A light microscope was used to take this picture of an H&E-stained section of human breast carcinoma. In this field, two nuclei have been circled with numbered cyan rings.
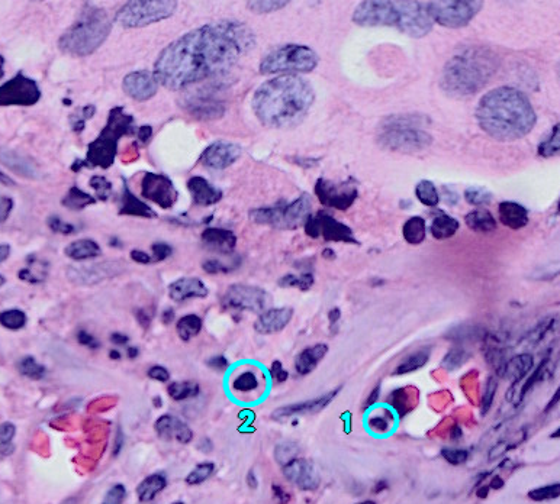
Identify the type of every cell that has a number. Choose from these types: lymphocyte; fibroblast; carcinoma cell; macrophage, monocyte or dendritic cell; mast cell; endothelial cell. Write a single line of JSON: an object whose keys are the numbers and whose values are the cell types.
{"1": "endothelial cell", "2": "lymphocyte"}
